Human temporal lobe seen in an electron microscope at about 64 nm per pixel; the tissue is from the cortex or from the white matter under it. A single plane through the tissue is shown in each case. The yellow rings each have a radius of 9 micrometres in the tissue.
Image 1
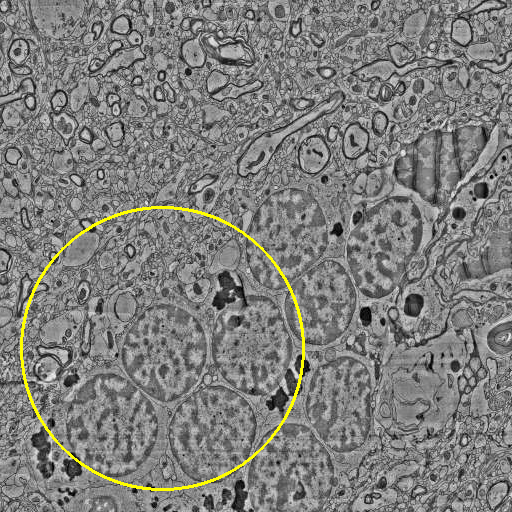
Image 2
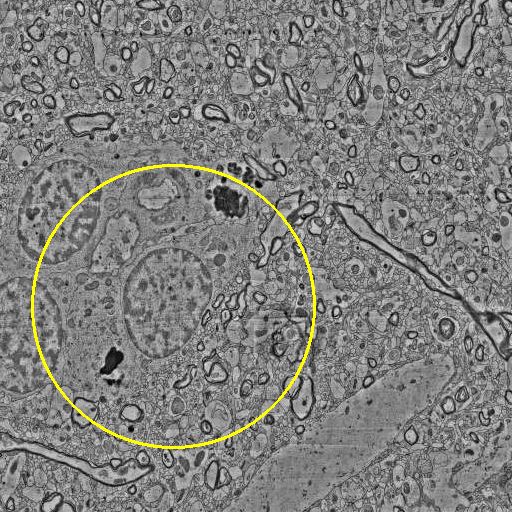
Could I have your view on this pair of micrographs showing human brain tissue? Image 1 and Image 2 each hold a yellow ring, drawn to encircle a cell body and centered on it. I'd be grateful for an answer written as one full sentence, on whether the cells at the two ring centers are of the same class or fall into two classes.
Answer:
The cells at the centers of the two rings are of the same class.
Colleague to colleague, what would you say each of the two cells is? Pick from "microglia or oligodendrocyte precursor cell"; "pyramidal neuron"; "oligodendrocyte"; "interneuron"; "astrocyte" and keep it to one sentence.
Both cells are the same kind, each one being an oligodendrocyte.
